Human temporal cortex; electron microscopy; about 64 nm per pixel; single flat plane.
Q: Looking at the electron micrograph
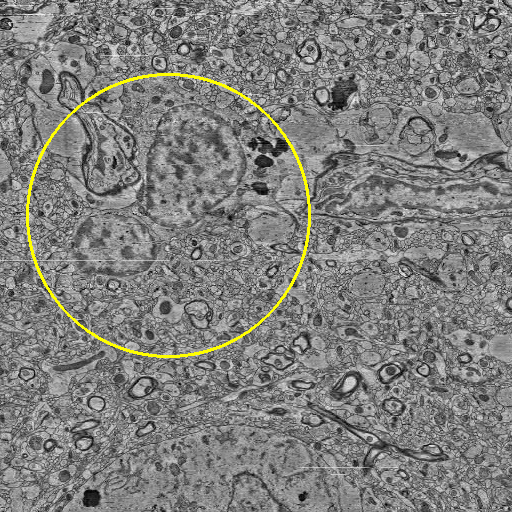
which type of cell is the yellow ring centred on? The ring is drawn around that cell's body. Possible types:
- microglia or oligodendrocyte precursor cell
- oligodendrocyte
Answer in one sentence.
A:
The yellow ring is centred on an oligodendrocyte.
